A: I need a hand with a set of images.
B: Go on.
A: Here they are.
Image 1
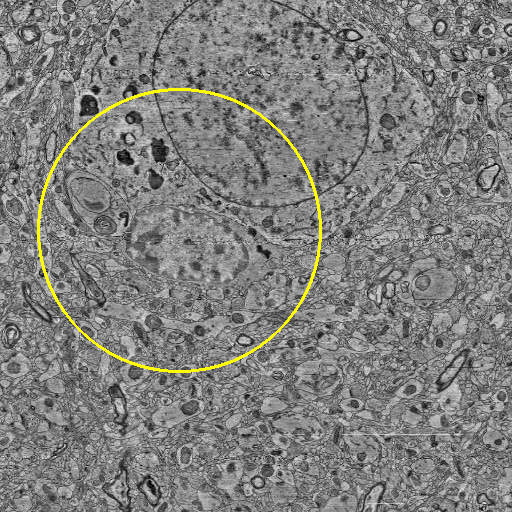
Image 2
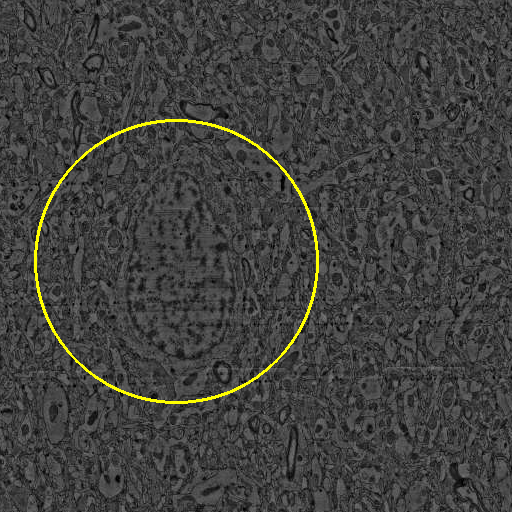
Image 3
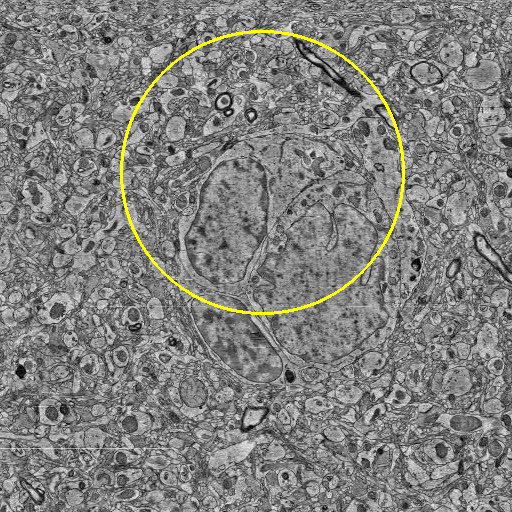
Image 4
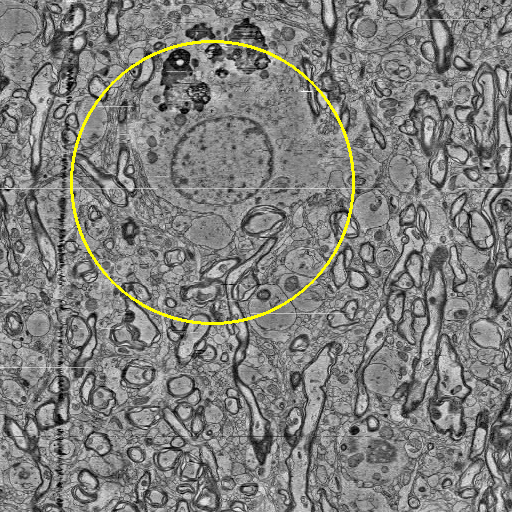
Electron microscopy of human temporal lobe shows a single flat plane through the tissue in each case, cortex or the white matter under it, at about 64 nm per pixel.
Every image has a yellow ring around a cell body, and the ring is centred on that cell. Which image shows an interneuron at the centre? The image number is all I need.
2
